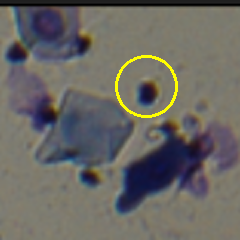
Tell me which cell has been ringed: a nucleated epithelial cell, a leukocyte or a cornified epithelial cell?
It is a leukocyte.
